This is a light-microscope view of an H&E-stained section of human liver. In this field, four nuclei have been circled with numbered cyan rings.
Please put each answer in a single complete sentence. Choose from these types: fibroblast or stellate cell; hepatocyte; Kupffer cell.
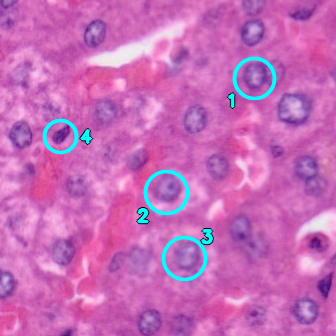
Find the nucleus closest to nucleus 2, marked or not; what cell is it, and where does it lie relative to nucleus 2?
The closest nucleus belongs to a Kupffer cell and sits above and to the left of nucleus 2.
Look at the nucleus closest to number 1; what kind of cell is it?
Closest to number 1 lies the nucleus of a hepatocyte.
